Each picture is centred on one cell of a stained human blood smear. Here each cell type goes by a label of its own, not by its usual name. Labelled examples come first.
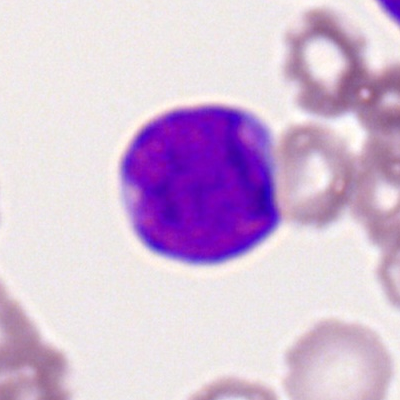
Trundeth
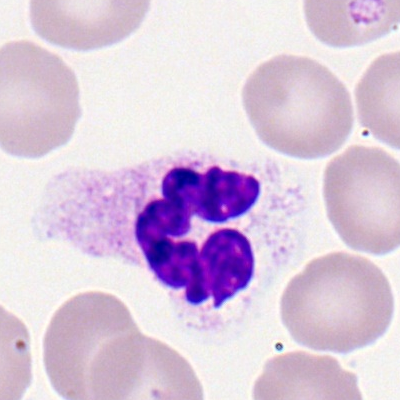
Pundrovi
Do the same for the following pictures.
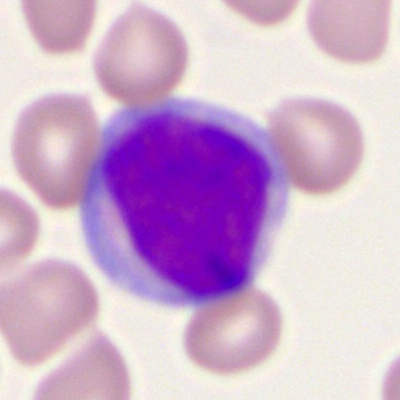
Trundeth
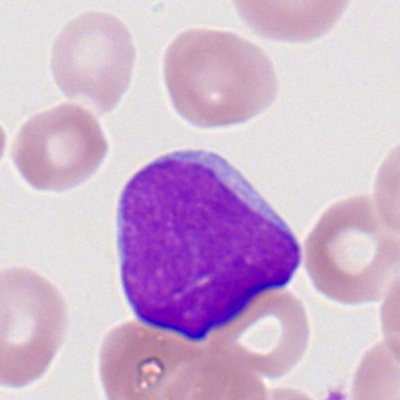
Trundeth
